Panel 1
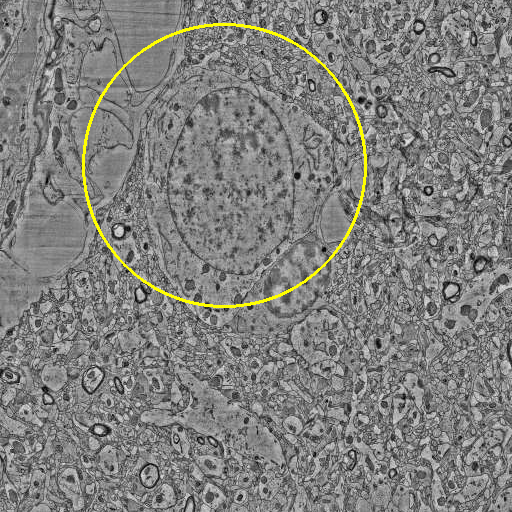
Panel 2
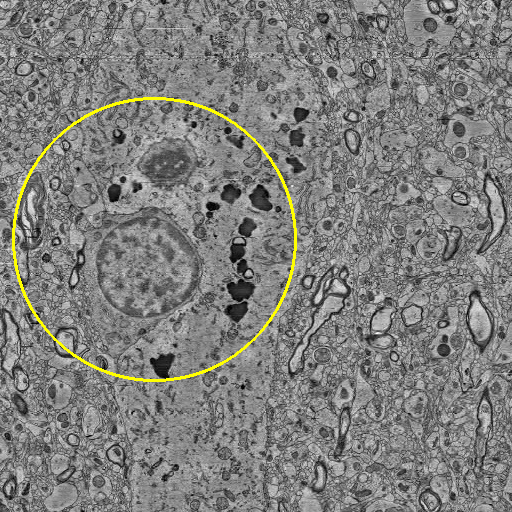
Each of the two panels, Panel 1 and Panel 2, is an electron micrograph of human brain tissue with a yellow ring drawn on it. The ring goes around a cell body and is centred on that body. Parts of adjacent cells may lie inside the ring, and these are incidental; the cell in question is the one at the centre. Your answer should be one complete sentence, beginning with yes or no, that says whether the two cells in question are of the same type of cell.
No, the two cells are of two types.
